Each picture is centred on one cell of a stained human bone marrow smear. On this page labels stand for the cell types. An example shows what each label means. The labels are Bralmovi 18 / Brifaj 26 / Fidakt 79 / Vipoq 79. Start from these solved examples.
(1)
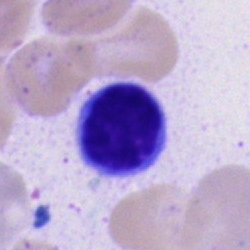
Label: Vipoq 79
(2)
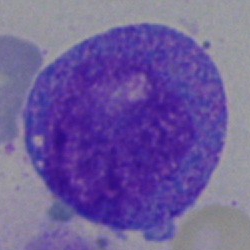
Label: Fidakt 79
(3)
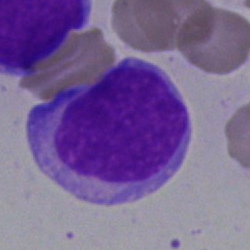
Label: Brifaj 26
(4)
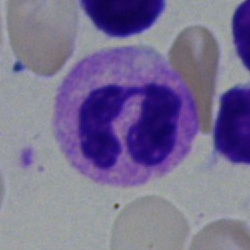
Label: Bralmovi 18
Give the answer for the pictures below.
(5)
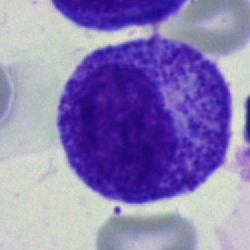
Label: Fidakt 79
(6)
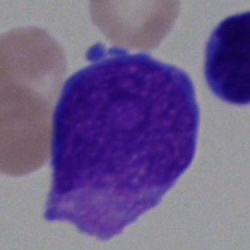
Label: Brifaj 26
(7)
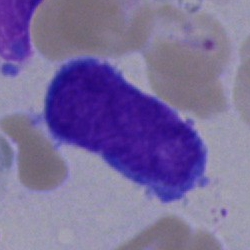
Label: Brifaj 26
